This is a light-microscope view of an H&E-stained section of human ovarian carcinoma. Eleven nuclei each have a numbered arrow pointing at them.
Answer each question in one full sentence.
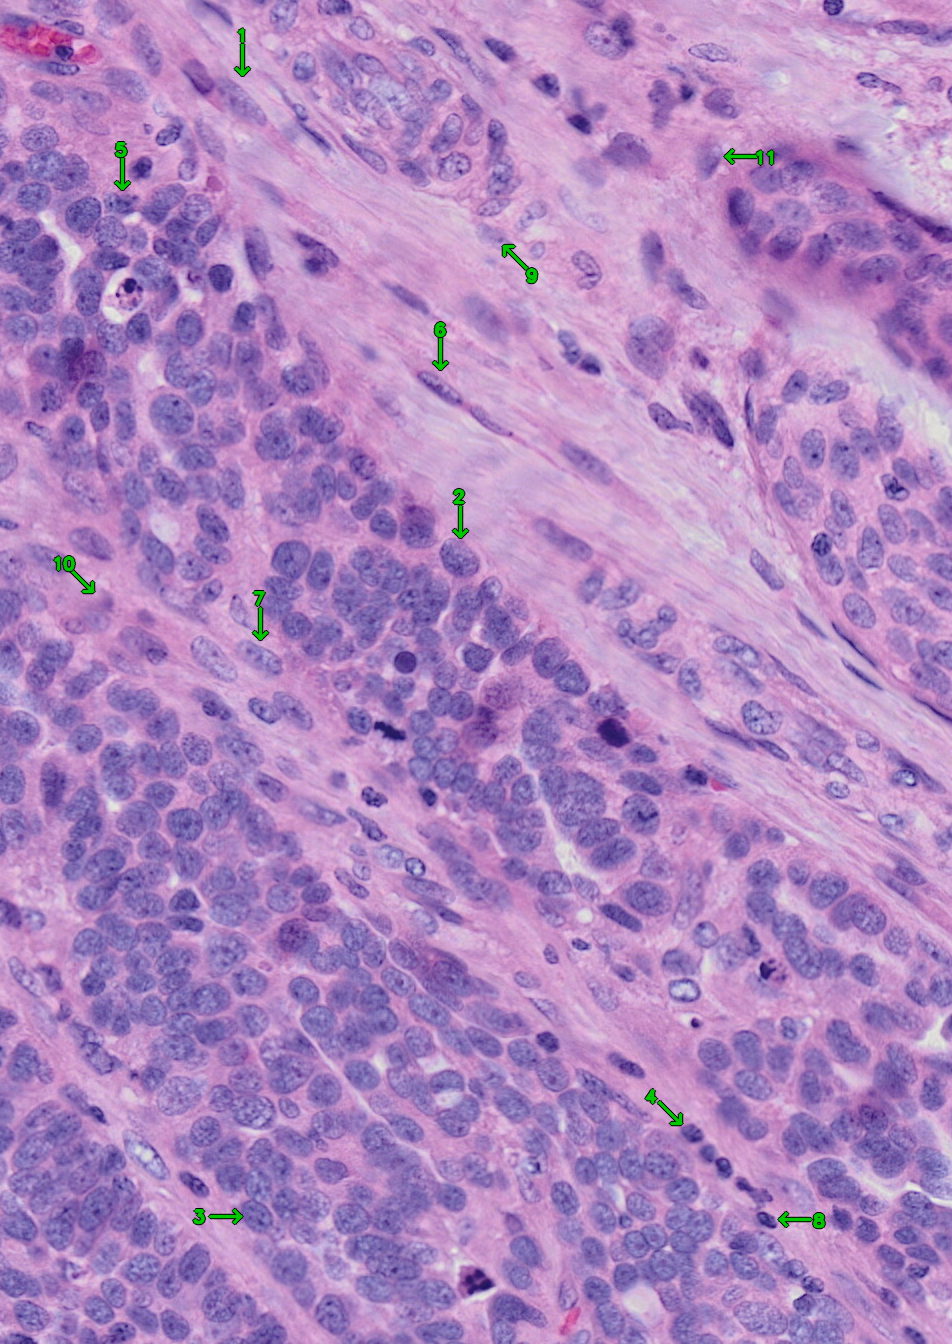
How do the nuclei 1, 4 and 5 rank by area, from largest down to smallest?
The nuclei rank 1, 5, 4, from largest to smallest.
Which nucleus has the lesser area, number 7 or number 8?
Nucleus 8 covers less area, with nucleus 7 about 3 times as large.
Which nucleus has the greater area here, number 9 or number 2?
Number 2 is larger; its area is about 2 times that of number 9.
